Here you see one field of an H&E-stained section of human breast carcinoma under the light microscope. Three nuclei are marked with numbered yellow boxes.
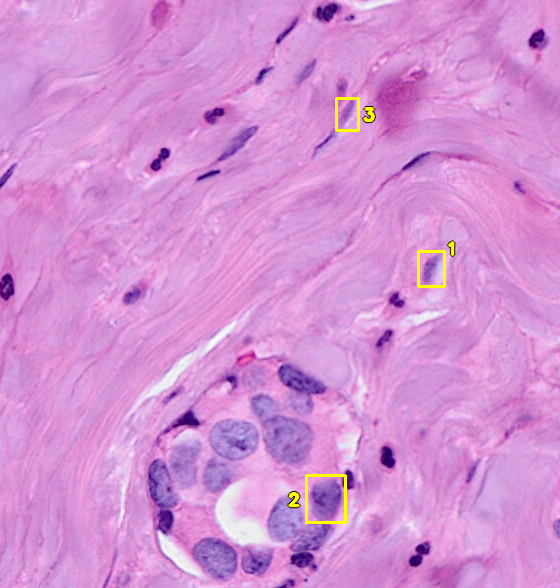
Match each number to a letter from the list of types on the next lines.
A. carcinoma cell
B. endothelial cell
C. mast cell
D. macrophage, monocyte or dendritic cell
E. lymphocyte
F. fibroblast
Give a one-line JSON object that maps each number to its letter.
{"1": "F", "2": "A", "3": "F"}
